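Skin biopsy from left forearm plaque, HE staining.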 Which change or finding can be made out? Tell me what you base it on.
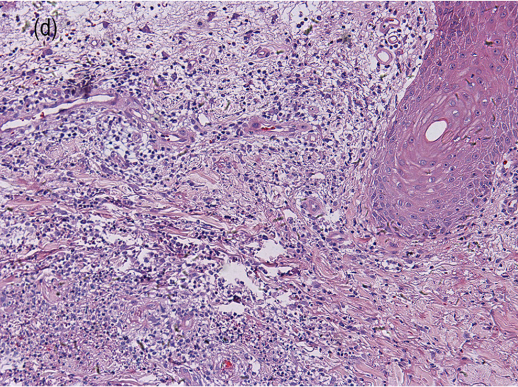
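The dermis is pale and loosely textured with wide spaces between fibres. Clear empty spaces are scattered through the dermis.
Conclusion: obvious edema in the superficial dermis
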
